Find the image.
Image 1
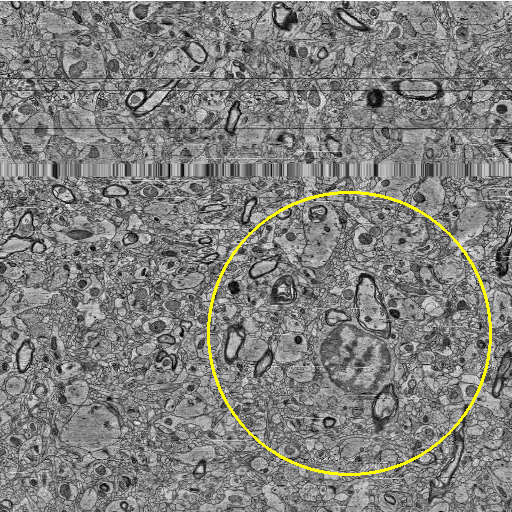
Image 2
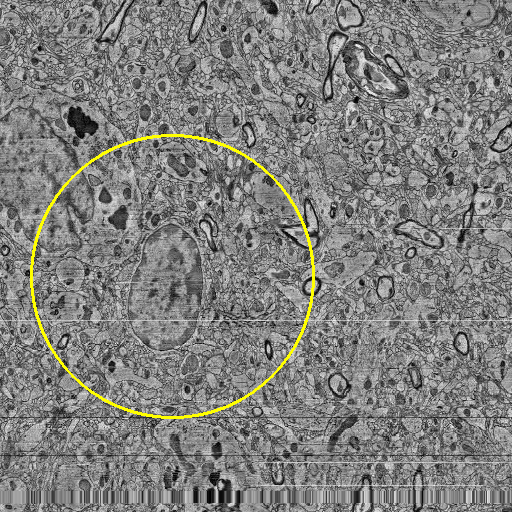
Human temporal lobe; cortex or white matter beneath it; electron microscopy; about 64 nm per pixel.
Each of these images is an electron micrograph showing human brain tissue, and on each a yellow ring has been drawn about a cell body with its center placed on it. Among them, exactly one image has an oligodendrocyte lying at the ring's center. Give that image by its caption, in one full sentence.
The ring in Image 1 is centered on the cell the question describes.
